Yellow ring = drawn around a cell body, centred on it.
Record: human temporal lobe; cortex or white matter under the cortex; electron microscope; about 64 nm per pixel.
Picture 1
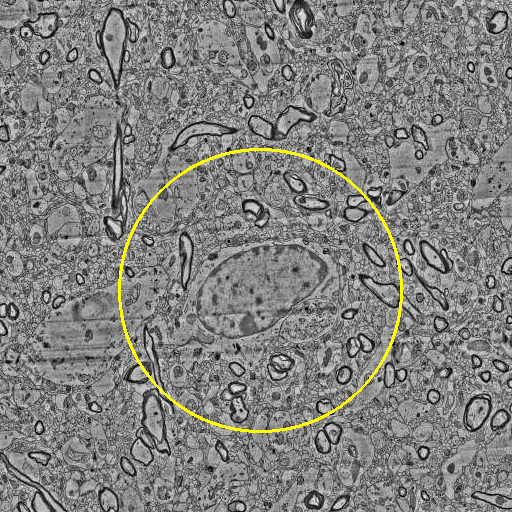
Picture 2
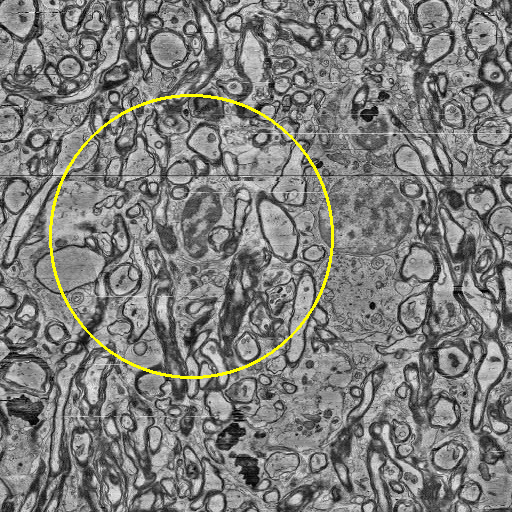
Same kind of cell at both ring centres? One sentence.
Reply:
Yes, they are the same kind of cell.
